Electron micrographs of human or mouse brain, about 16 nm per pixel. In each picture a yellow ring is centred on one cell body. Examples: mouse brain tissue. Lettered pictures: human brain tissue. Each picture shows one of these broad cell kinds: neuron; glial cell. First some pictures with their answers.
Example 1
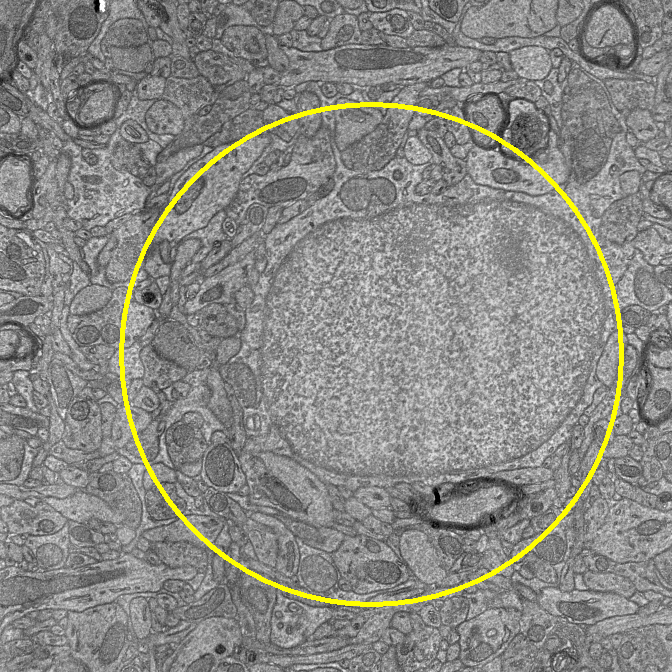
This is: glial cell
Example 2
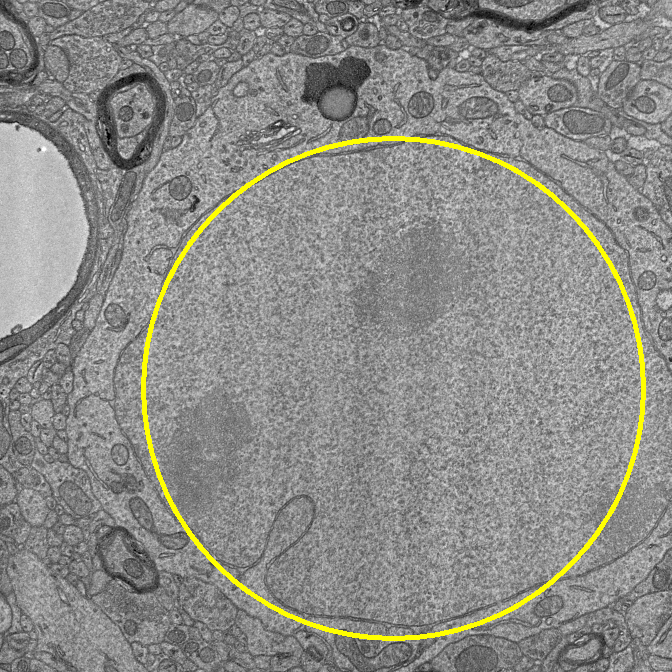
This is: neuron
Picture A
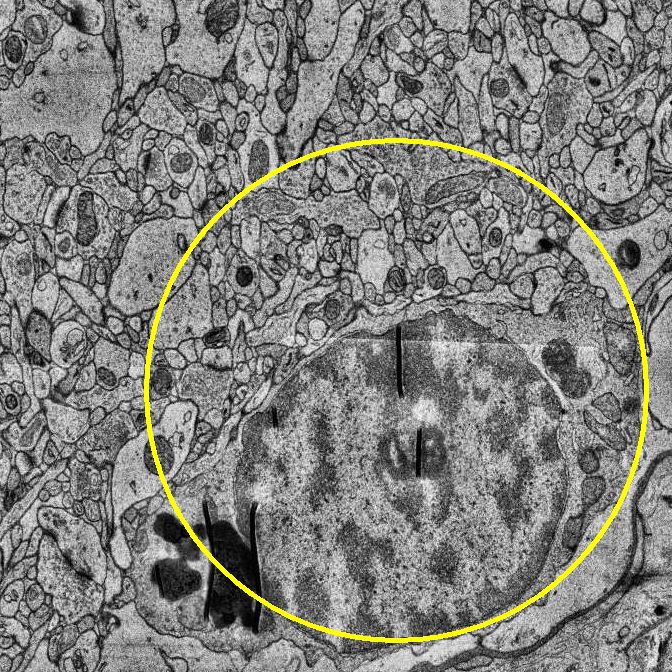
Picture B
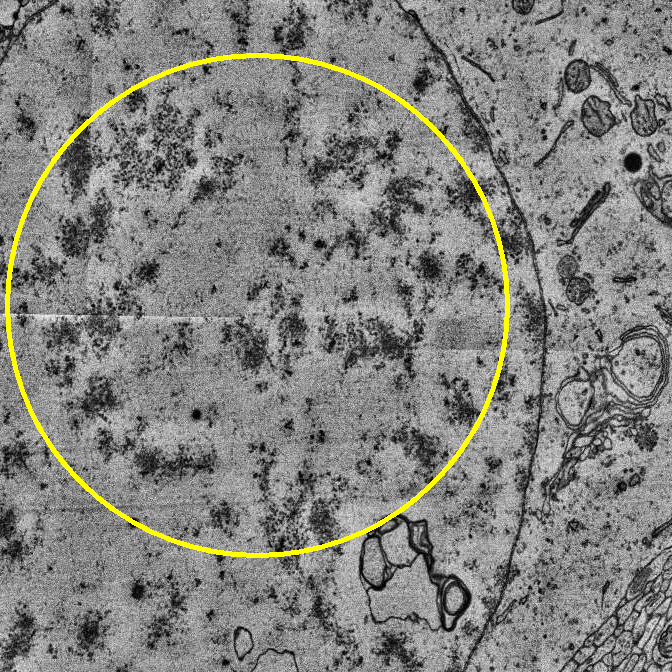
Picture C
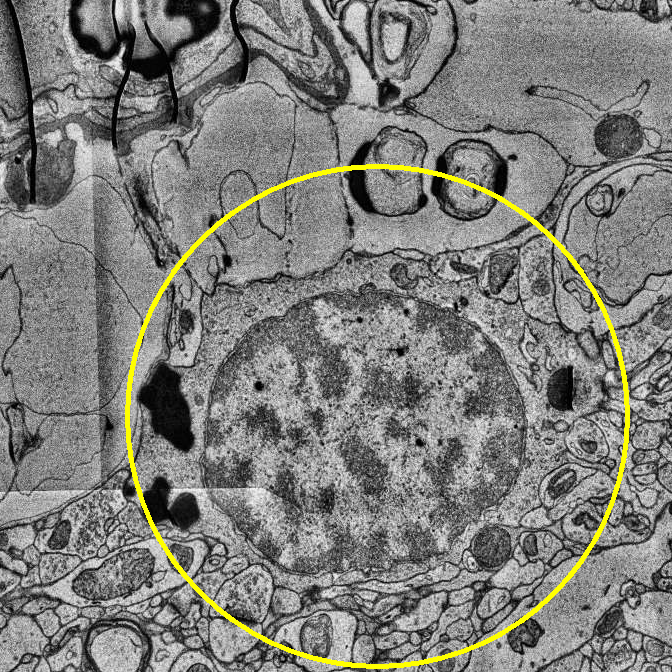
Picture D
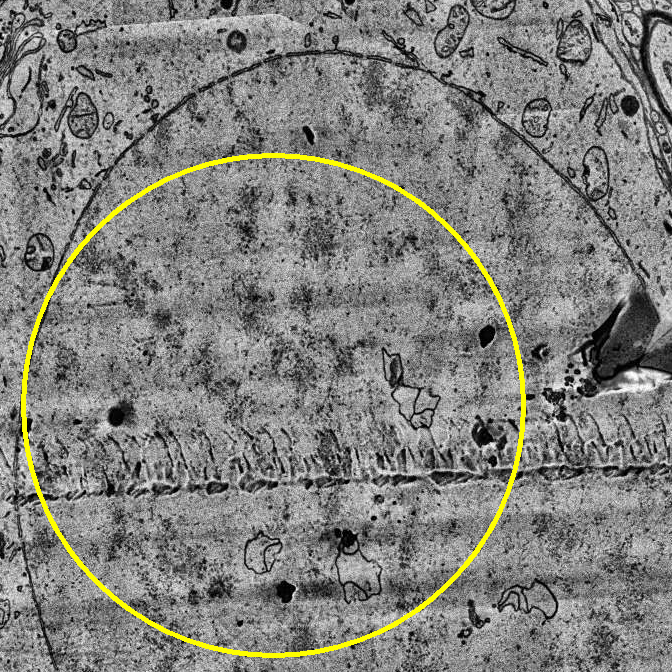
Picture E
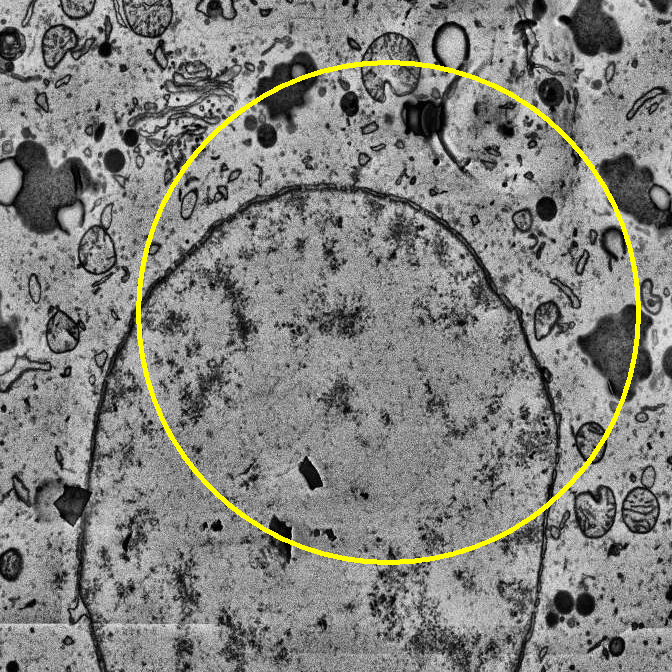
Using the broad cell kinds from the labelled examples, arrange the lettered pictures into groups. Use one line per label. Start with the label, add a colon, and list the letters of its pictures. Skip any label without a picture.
neuron: B, D, E
glial cell: A, C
